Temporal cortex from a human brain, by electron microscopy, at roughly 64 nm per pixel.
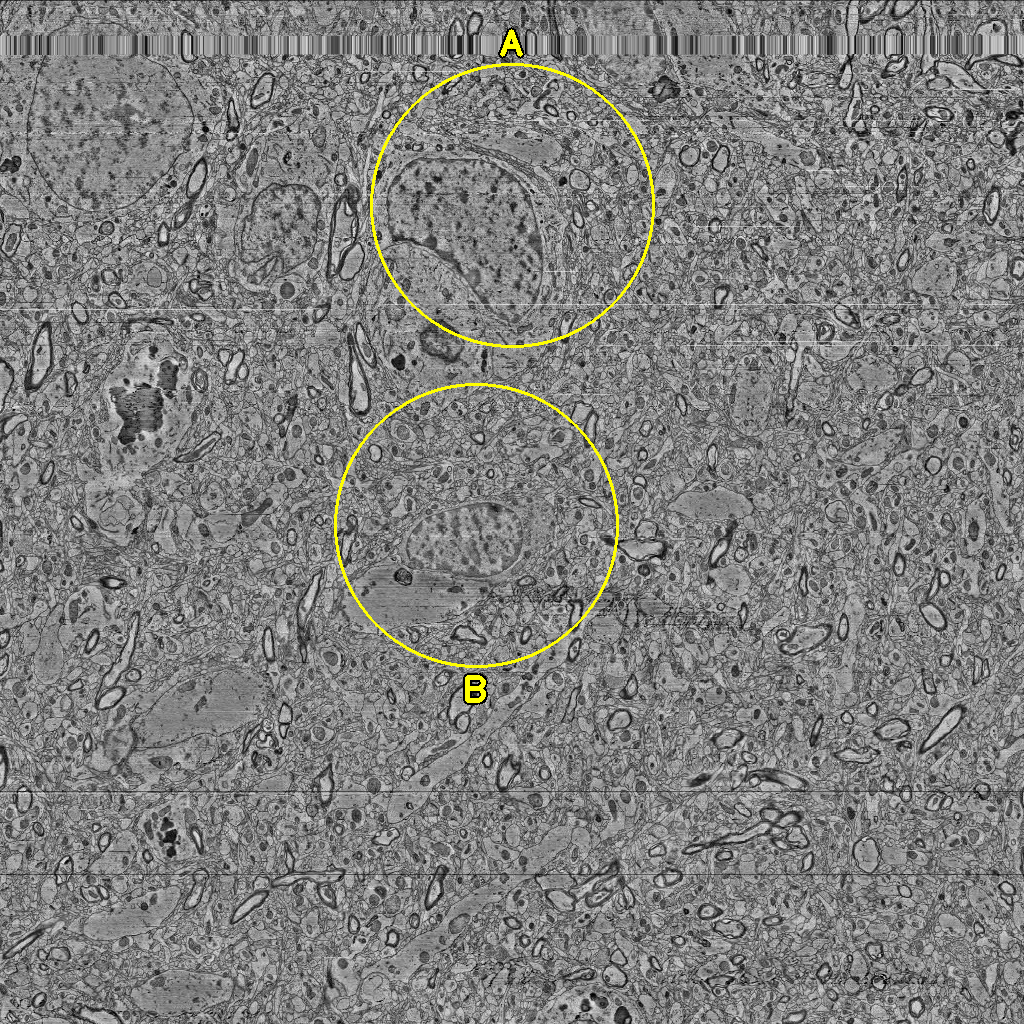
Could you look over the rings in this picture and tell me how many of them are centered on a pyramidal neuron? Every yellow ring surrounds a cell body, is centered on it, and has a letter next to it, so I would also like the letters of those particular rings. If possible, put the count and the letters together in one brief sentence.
The rings around the cell bodies include none centred on a pyramidal neuron, so the count is zero.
